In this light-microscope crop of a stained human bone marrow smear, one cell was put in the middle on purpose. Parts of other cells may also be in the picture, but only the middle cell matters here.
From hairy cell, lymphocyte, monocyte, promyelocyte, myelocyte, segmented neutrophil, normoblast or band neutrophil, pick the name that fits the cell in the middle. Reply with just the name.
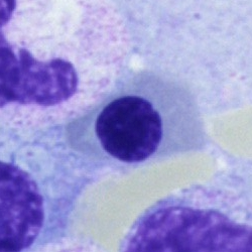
normoblast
